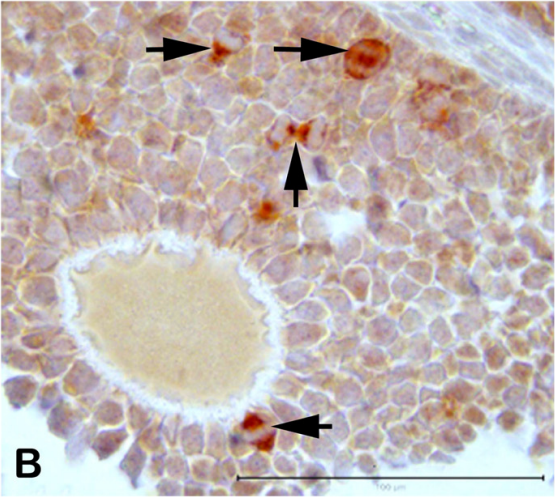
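Part of a large multilayered follicle is shown, with many tightly packed polygonal granulosa cells filling most of the field and an oocyte lying at the lower left. The granulosa cells have pale brown cytoplasm with sharper brown cell borders and round nuclei. Scattered among them are a few cells that stain intense dark brown, some with clumped, irregular dark material. The oocyte shows homogeneous pale brown cytoplasm separated from the surrounding cells by a clear rim. At the upper right edge, flattened paler cells form the outer border of the follicle.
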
